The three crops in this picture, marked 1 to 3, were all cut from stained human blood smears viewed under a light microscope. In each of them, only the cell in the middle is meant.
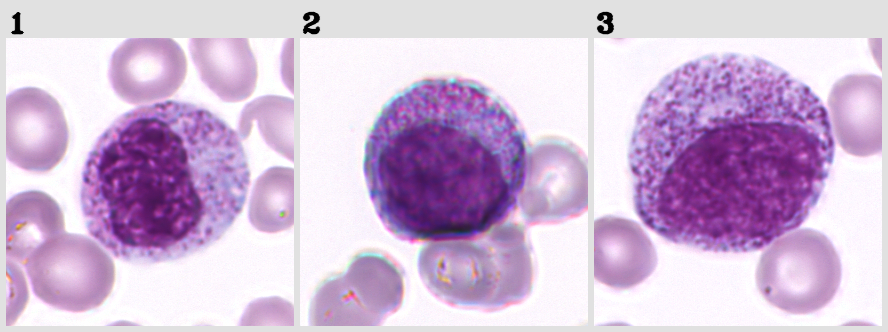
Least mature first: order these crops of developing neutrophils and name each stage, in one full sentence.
Along a scale from least to most mature, the order is crop 3 (a promyelocyte), crop 2 (a myelocyte) and crop 1 (a metamyelocyte).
